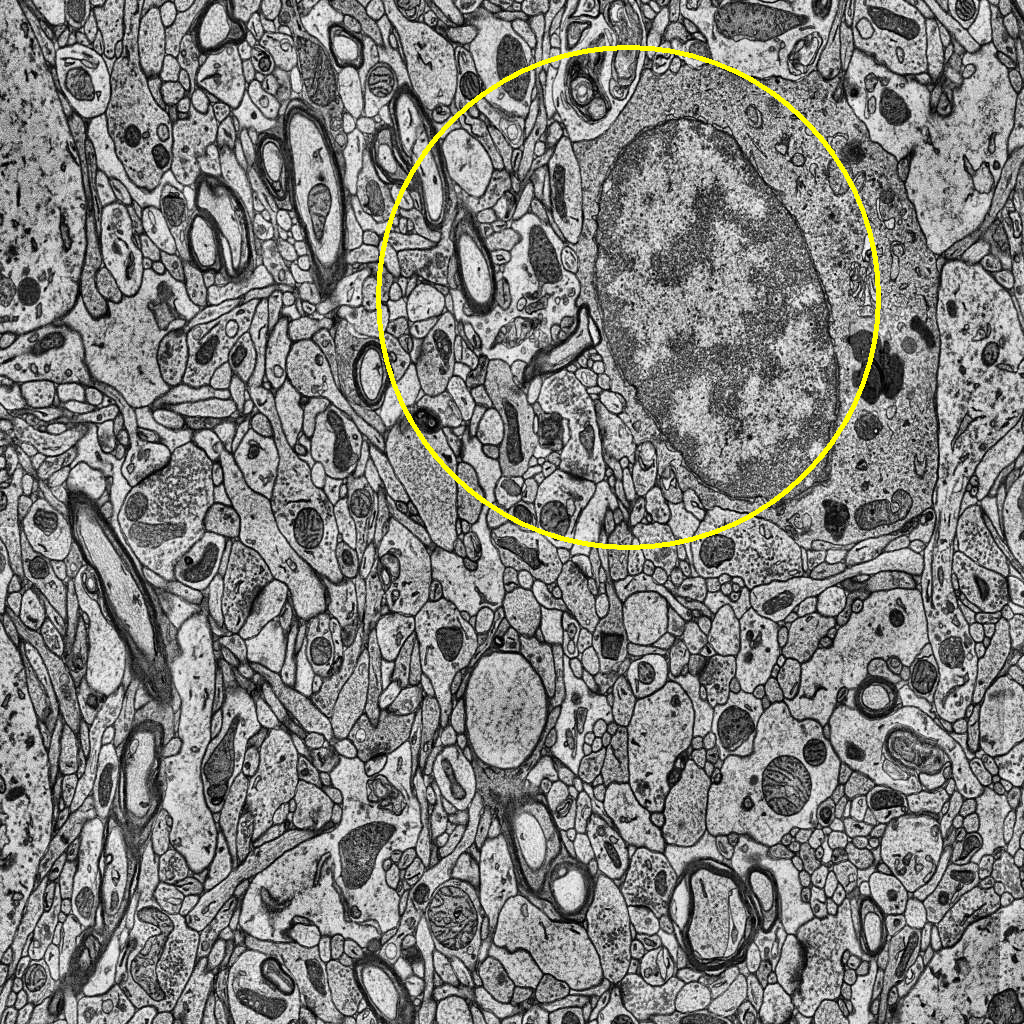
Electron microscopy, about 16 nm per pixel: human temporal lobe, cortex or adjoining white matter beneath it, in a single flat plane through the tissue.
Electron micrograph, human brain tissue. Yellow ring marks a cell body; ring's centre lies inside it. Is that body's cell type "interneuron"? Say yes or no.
no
